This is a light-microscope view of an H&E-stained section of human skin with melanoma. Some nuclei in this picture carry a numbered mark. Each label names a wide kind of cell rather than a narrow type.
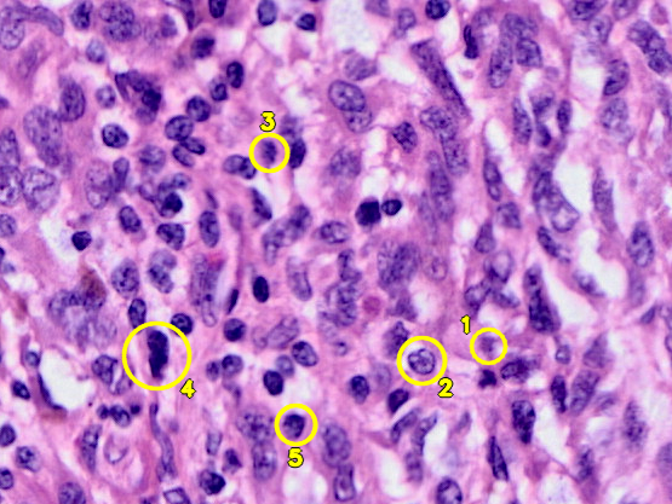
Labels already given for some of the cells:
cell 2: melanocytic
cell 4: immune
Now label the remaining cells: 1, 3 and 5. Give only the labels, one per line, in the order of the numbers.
melanocytic
immune
immune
